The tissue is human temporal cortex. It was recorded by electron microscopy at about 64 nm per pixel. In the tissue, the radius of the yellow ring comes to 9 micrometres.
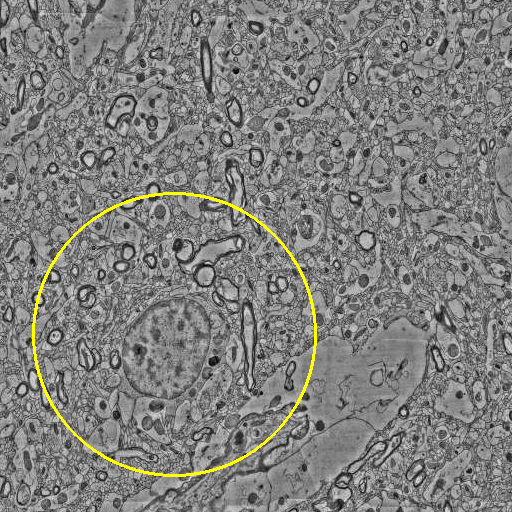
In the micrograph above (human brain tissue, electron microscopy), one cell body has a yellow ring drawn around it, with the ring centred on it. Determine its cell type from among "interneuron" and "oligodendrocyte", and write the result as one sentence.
The cell whose body is ringed is an oligodendrocyte.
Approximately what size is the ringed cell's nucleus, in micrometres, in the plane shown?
The nucleus of the ringed cell is approximately 7 by 5 micrometres in this plane.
